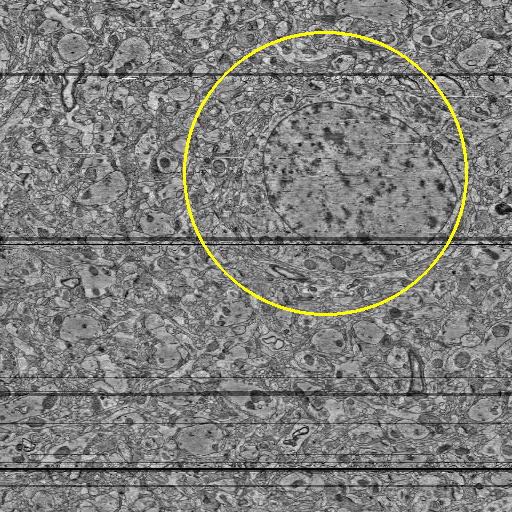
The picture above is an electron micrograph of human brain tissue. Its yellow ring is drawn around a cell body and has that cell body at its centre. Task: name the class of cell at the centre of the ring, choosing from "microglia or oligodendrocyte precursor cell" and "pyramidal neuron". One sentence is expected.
The ring surrounds the body of a pyramidal neuron.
